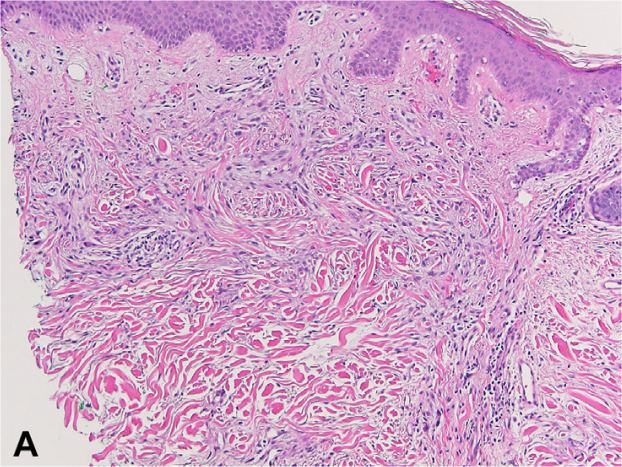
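This is skin, with the epidermis across the top and the dermis below, where a proliferation of spindled and epithelioid-shaped cells lies between the collagen bundles. The cells are not gathered into a solid mass but are spread interstitially, slipping between pink collagen fibres. Some are slender and elongated, others plumper, and in places they line up loosely in vague rows. The collagen bundles in the deeper dermis look separated by pale spaces between them.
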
